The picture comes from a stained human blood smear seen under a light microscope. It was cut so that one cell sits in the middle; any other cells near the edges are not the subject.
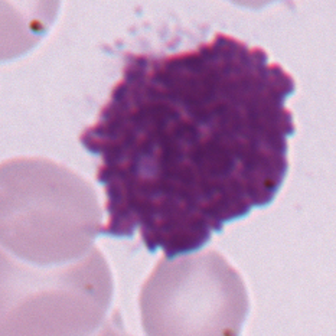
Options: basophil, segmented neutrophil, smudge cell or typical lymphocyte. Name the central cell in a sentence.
In the middle of this smear crop, the cell is a smudge cell.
